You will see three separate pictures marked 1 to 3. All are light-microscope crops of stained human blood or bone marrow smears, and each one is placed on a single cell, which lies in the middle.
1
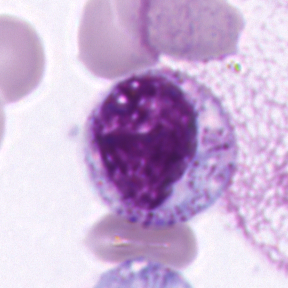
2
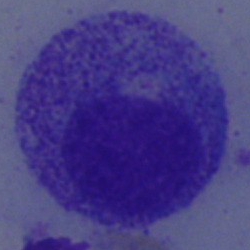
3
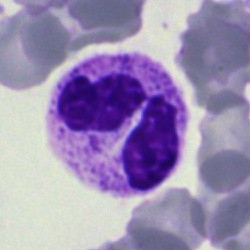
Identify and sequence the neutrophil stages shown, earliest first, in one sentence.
Ranked in ascending maturity, the crops are crop 2 (a myelocyte), crop 1 (a metamyelocyte) and crop 3 (a segmented neutrophil).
